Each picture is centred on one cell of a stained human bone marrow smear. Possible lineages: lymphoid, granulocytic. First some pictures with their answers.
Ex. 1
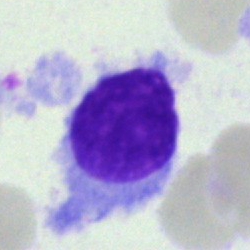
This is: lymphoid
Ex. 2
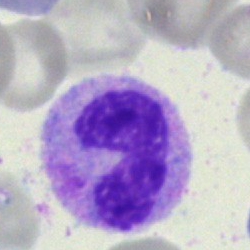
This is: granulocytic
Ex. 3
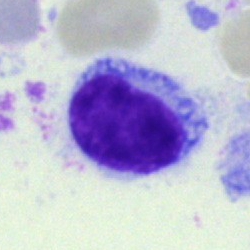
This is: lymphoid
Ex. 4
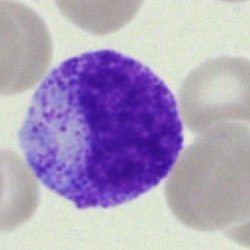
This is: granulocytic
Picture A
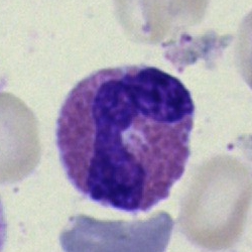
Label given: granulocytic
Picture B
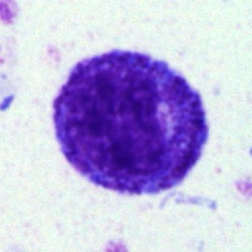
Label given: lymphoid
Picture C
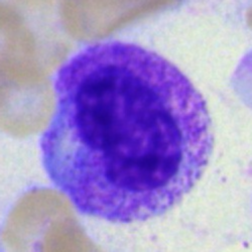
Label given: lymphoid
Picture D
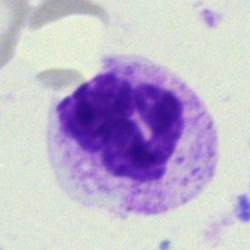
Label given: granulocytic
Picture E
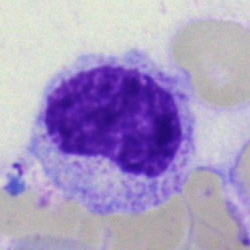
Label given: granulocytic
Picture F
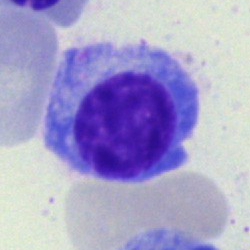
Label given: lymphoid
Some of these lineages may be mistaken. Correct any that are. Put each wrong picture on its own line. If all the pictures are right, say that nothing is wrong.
B: not lymphoid but granulocytic
C: not lymphoid but granulocytic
